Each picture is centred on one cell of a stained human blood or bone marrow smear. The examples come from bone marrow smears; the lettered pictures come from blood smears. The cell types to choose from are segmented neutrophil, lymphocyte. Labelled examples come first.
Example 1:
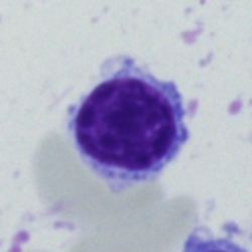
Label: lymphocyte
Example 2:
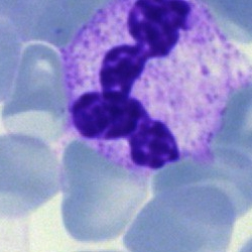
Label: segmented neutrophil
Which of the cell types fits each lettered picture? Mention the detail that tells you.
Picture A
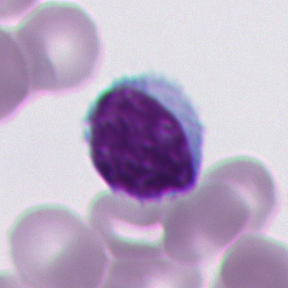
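lymphocyte: The cytoplasm is a narrow rim that is widest along the upper right side of the nucleus.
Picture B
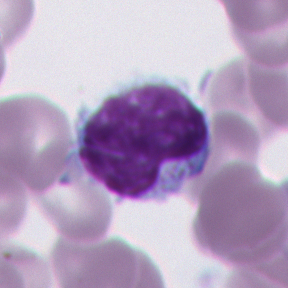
lymphocyte: The cytoplasm forms only a scant rim around the nucleus.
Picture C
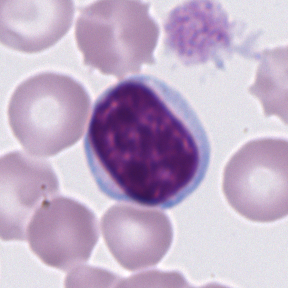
lymphocyte: The cytoplasm forms only a narrow rim around the nucleus.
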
